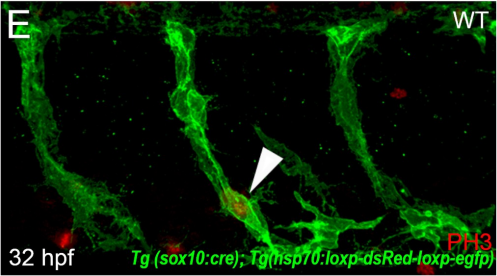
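The cells are slender and elongated, with thin processes extending from the streams. Other red nuclei lie scattered outside the green cells.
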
